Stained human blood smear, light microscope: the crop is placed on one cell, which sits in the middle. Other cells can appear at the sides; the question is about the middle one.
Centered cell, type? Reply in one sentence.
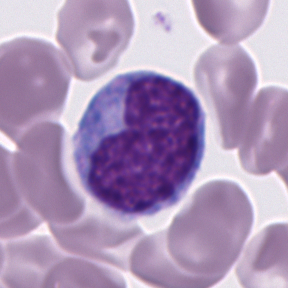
The central element of this crop is a cell, namely a monocyte.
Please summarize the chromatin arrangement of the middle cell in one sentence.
Answer: the chromatin in this nucleus is coarsely clumped.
